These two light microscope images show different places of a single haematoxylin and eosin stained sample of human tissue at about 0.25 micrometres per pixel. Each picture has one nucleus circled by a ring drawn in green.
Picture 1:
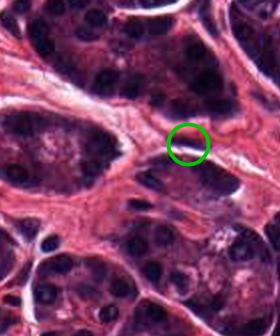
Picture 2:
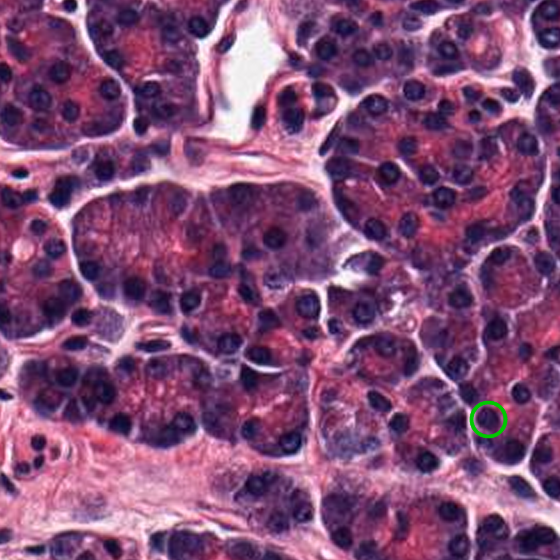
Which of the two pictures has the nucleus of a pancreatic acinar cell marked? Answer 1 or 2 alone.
2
